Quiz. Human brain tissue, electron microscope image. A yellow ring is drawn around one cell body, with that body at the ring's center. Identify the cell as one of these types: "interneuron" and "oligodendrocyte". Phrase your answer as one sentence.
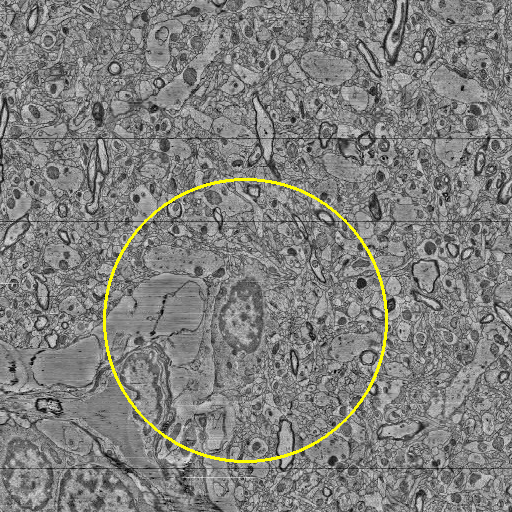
At the center of the ring sits an oligodendrocyte.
